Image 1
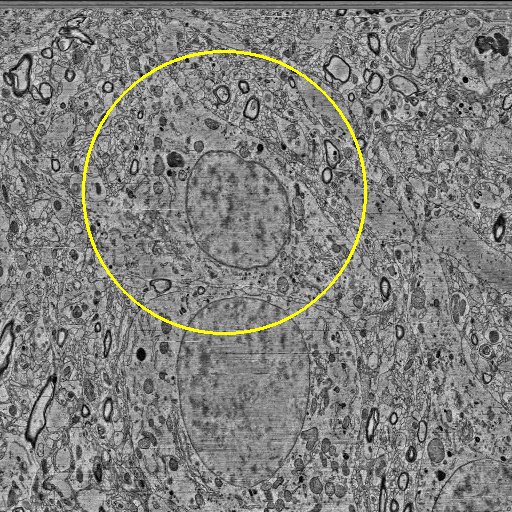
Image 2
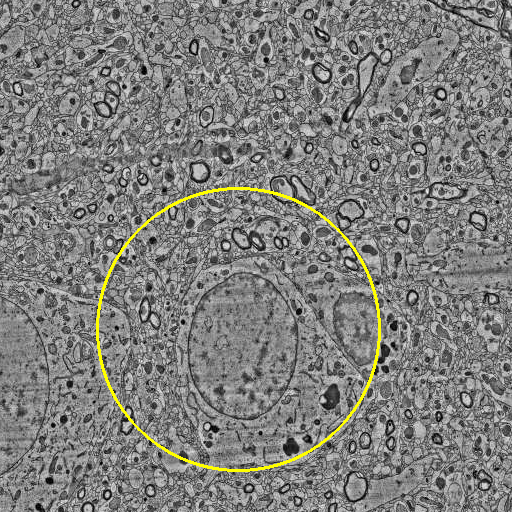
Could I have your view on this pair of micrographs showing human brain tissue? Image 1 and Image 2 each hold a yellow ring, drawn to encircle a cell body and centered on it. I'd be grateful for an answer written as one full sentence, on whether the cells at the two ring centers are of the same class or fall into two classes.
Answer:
The cells at the centers of the two rings are of the same class.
